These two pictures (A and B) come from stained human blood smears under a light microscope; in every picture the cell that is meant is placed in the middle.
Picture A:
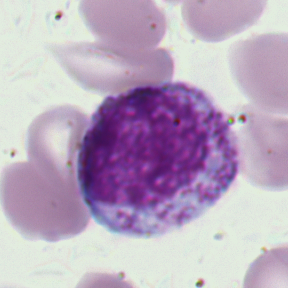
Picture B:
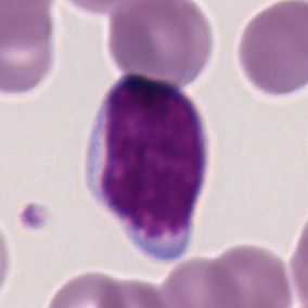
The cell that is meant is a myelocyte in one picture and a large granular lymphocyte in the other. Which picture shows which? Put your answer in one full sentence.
Picture A shows a myelocyte and picture B shows a large granular lymphocyte.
